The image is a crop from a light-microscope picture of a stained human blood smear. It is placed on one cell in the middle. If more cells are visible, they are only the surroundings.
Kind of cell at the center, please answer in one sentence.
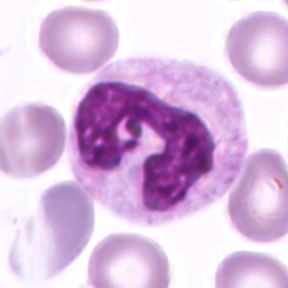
The cell found in the middle of this crop is a band neutrophil.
